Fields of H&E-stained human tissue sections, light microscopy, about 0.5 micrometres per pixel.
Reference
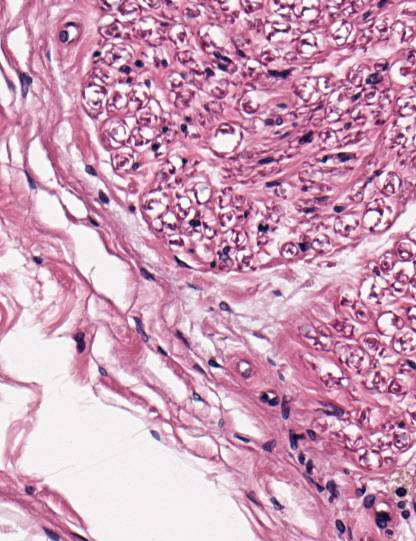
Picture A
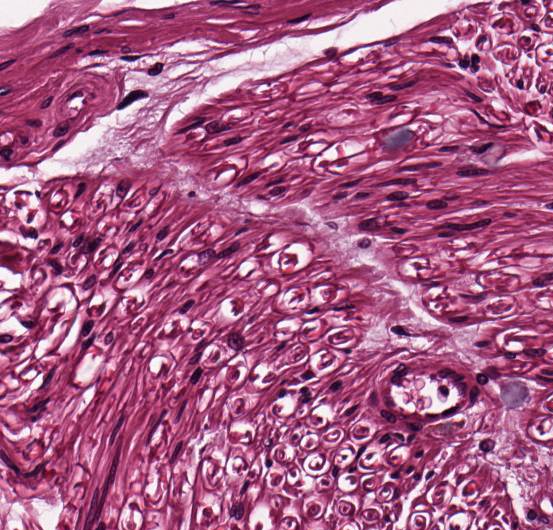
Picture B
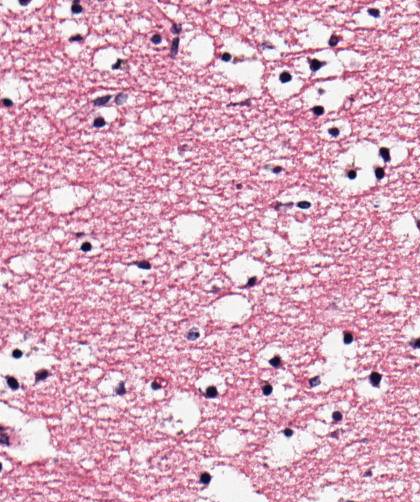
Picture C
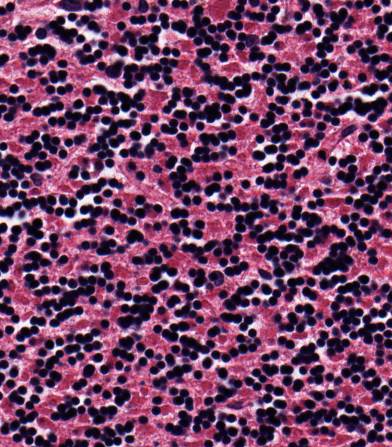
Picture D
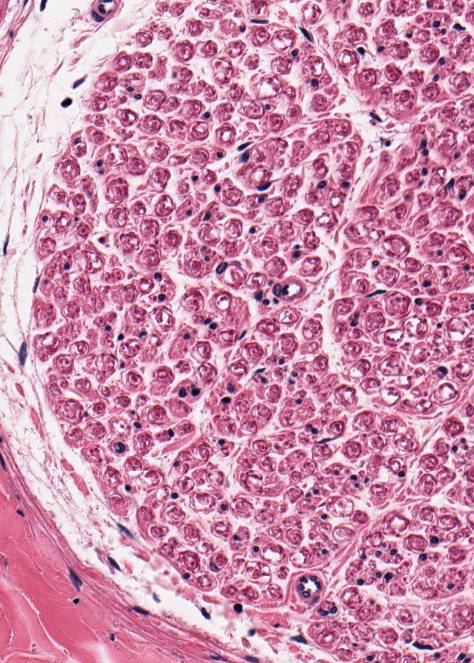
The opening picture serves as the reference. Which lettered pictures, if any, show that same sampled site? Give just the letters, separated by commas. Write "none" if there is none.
A, D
